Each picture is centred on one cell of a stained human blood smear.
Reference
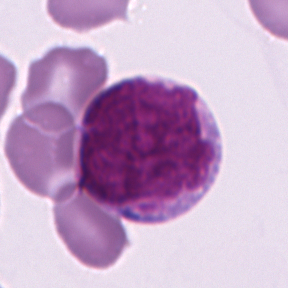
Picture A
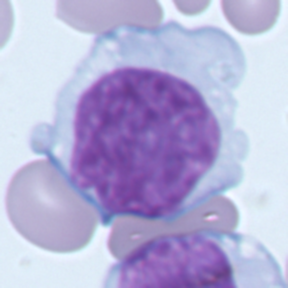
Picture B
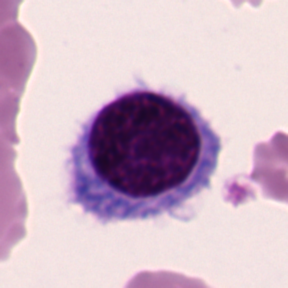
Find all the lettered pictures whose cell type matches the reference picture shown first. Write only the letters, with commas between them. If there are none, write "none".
A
